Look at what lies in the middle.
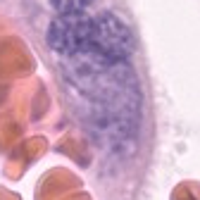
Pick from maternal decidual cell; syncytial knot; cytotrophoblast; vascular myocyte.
cytotrophoblast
